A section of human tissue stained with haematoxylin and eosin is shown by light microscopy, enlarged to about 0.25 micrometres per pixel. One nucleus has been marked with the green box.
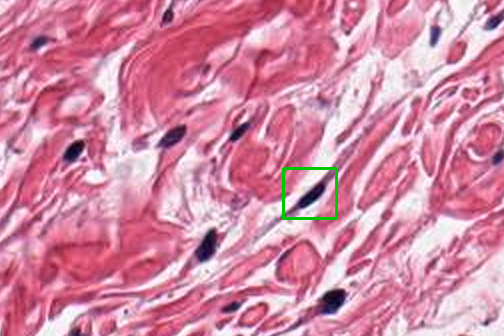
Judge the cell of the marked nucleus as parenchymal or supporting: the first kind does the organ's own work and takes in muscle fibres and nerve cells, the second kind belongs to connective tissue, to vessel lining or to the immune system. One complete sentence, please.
The indicated nucleus in this section belongs to a supporting cell.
